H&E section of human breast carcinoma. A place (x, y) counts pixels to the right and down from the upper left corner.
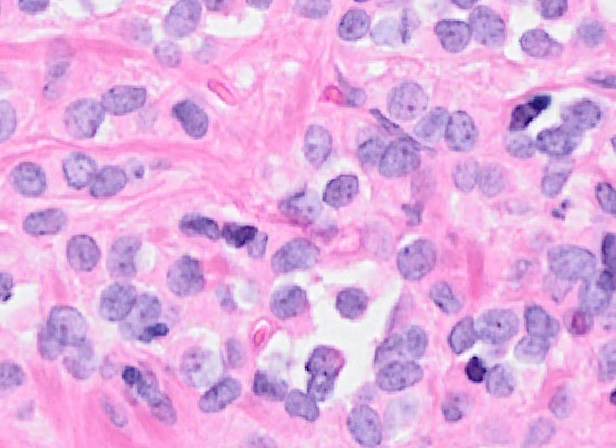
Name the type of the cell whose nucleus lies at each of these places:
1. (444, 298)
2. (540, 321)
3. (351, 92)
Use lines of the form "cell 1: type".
cell 1: carcinoma cell
cell 2: carcinoma cell
cell 3: endothelial cell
